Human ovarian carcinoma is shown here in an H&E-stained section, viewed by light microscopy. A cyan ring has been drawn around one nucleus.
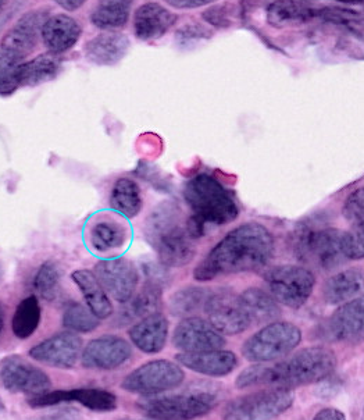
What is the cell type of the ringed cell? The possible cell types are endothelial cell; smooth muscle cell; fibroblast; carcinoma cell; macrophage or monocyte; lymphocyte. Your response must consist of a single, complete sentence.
Cytologically, the ringed cell is to be regarded as a macrophage or monocyte.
